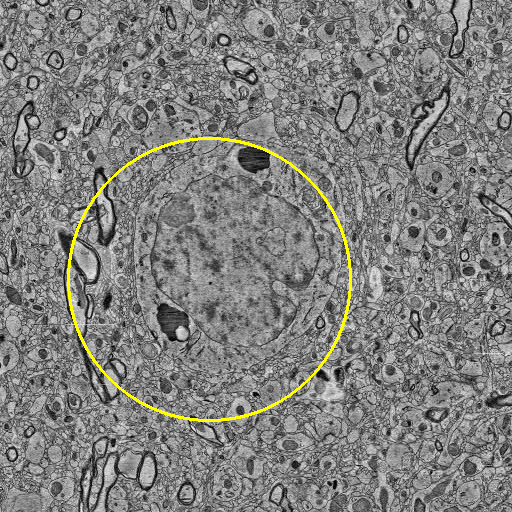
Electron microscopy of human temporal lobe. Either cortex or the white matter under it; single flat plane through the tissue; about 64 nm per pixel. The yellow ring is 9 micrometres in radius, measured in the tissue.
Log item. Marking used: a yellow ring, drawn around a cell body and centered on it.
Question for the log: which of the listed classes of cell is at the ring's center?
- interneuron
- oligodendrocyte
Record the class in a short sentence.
At the center of the ring lies an interneuron.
